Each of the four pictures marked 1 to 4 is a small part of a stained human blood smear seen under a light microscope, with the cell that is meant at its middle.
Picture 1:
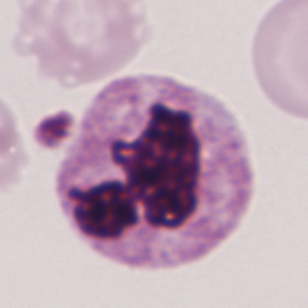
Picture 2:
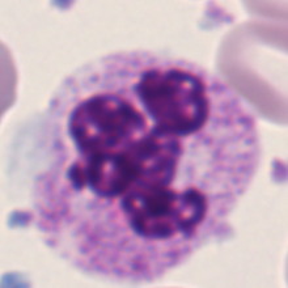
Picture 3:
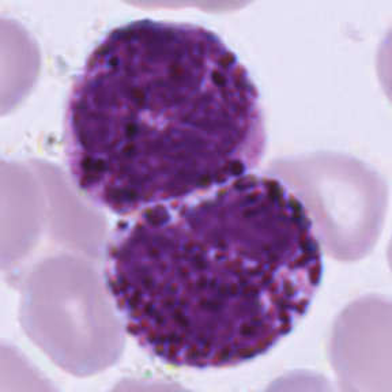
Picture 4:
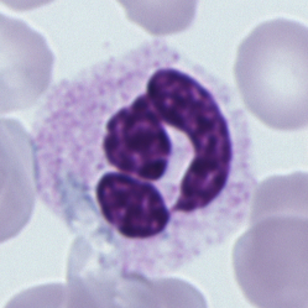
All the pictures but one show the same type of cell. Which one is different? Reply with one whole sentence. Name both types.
Unlike the rest, which show segmented neutrophils, picture 3 shows a basophil.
